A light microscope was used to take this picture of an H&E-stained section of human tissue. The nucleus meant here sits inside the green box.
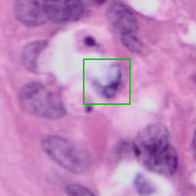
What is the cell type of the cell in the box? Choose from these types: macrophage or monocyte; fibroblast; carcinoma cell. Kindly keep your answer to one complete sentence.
The cell type of the cell in the box is that of a macrophage or monocyte.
